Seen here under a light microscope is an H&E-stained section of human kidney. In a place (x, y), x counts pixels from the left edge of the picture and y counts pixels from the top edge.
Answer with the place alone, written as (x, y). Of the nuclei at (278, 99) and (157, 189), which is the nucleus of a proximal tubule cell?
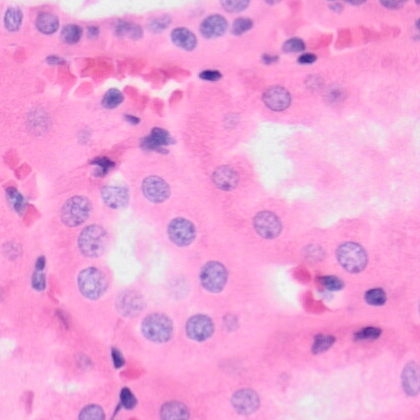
(278, 99)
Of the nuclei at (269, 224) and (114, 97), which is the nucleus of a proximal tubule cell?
(269, 224)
